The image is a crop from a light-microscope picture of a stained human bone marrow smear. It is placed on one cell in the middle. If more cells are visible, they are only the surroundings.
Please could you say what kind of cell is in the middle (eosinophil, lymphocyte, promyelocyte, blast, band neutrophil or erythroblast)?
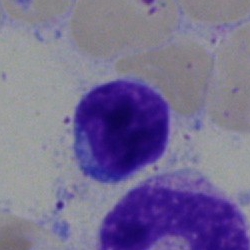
lymphocyte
